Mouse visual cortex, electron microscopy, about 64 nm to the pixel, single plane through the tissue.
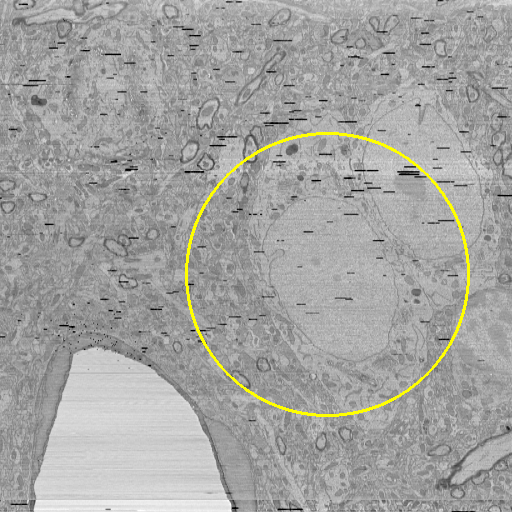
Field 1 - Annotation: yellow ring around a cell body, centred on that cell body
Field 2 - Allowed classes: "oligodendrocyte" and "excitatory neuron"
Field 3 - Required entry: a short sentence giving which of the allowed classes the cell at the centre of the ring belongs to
The centred cell is an excitatory neuron.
